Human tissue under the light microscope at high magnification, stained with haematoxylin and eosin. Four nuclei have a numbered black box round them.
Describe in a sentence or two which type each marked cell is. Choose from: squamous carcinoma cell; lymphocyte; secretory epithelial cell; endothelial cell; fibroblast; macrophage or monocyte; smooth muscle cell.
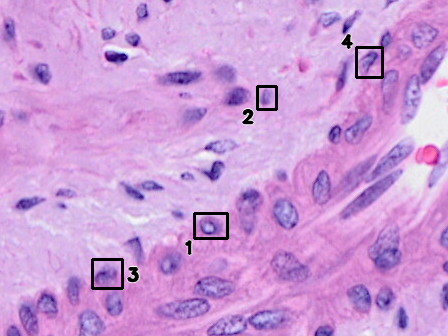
Cell 1 is a smooth muscle cell, cell 2 is a fibroblast, cell 3 is a smooth muscle cell and cell 4 is a smooth muscle cell.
